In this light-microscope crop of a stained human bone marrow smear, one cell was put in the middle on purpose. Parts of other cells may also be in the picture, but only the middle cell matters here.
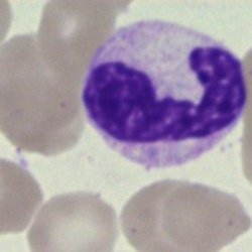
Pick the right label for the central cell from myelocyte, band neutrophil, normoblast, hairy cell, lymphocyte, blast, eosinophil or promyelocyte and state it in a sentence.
Here the cell in the middle is a band neutrophil.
